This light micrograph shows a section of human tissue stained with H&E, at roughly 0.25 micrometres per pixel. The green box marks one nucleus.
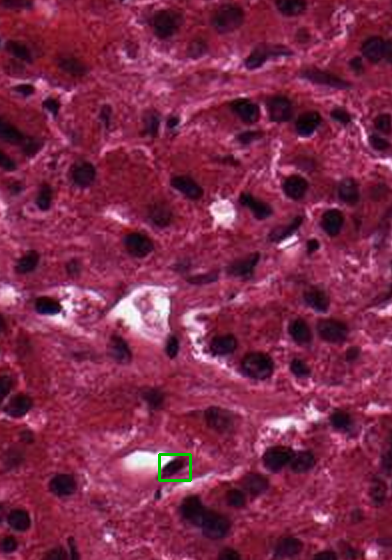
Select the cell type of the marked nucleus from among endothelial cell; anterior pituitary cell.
endothelial cell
